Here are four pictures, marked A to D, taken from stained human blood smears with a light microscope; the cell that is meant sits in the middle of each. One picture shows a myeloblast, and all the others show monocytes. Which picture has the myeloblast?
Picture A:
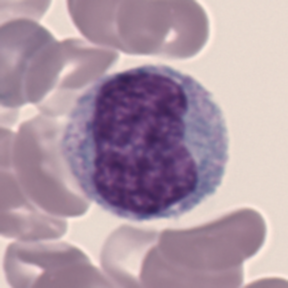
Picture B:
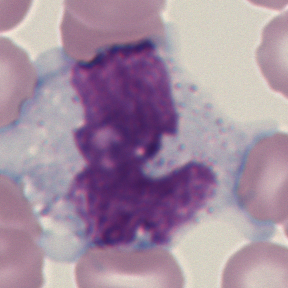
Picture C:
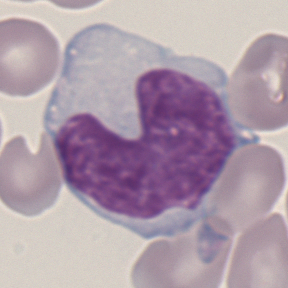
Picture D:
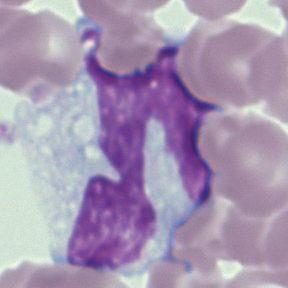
C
